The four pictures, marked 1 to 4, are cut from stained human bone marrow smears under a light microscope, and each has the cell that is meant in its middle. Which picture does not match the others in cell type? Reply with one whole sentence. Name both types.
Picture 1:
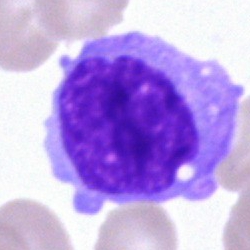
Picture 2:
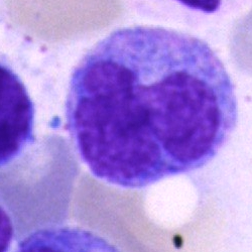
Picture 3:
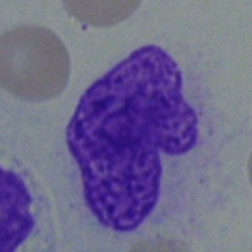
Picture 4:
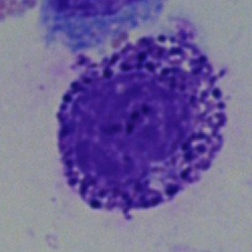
Picture 4 is the odd one out: it shows a basophil, while the others show monocytes.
